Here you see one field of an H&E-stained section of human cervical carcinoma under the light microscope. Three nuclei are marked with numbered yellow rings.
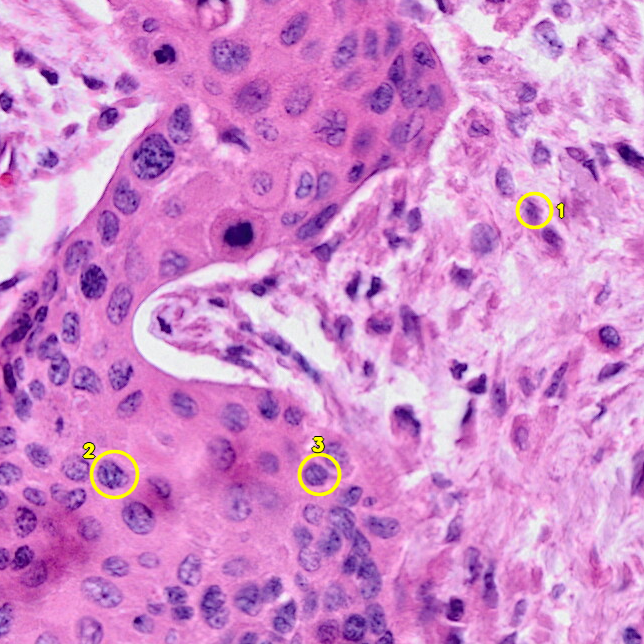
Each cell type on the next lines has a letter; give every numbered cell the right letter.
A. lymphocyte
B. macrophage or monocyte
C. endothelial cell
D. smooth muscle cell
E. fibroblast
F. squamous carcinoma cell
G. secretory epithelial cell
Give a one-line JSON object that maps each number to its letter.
{"1": "E", "2": "F", "3": "F"}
